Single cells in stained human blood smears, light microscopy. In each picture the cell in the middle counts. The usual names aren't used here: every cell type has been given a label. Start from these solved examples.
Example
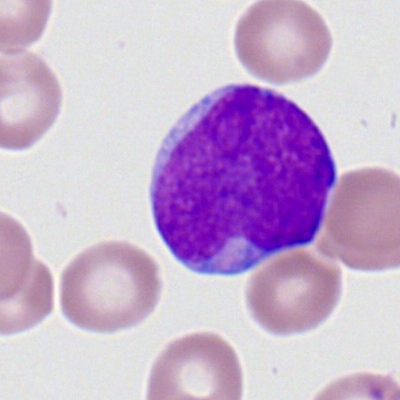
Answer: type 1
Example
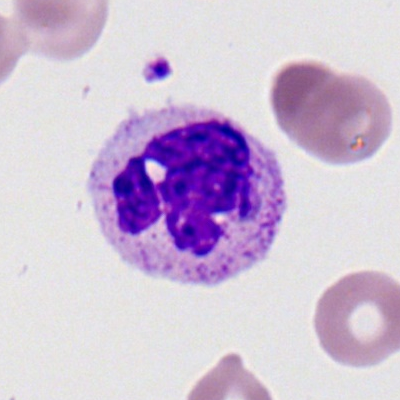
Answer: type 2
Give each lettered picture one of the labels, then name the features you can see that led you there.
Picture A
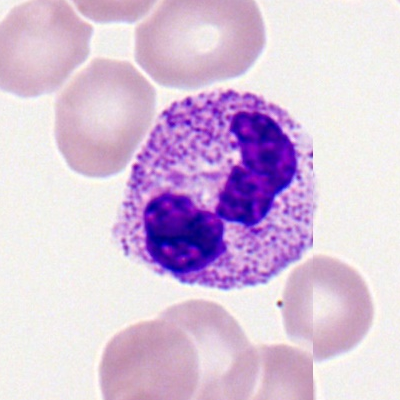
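Label: type 2. The nucleus is made up of two lobes.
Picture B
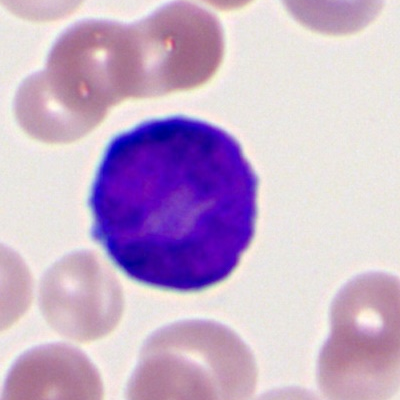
Label: type 1. Cytoplasm is at most a very thin rim that is hardly visible.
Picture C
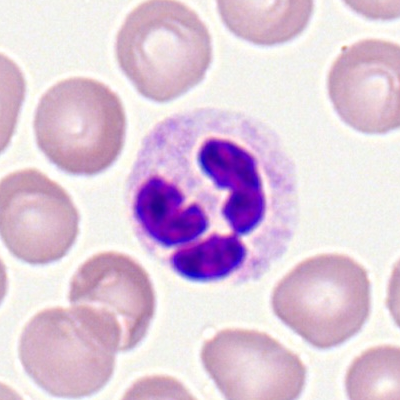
Label: type 2. The cytoplasm is plentiful and pale pinkish-lilac.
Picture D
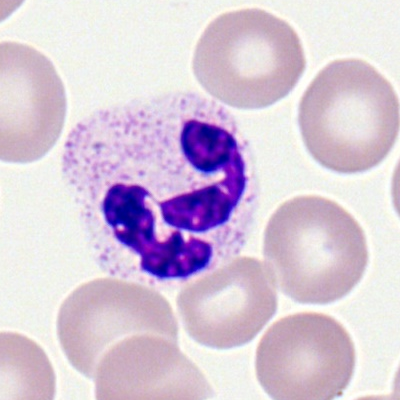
Label: type 2. The cytoplasm is plentiful and pale pink.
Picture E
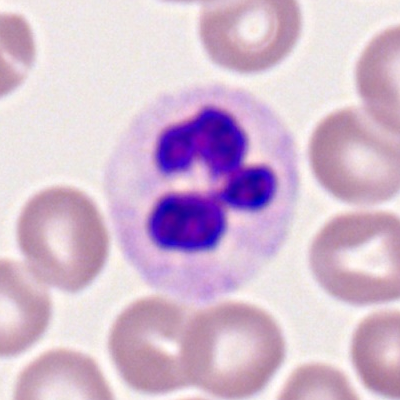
Label: type 2. The nucleus is divided into three lobes.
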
